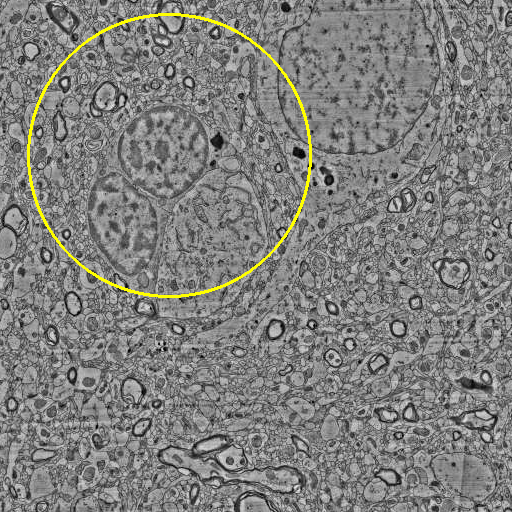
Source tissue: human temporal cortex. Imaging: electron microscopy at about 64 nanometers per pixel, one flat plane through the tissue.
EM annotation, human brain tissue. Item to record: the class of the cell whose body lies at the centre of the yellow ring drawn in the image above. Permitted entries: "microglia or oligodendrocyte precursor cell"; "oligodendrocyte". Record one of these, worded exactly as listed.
oligodendrocyte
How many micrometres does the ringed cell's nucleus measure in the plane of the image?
In this plane the nucleus is about 6 micrometres across.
